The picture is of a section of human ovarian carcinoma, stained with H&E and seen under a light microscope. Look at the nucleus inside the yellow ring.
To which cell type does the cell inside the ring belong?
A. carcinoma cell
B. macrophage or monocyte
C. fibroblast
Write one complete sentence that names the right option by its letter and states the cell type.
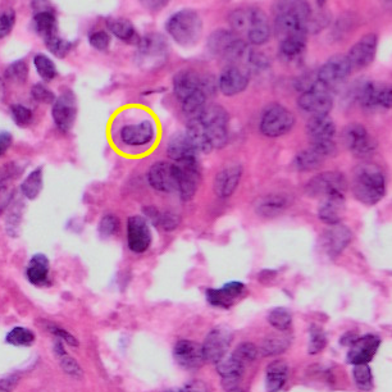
Option B gives the correct identity of the cell inside the ring, which is a macrophage or monocyte.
